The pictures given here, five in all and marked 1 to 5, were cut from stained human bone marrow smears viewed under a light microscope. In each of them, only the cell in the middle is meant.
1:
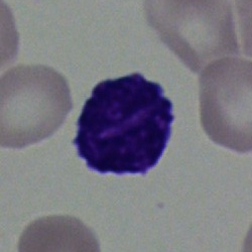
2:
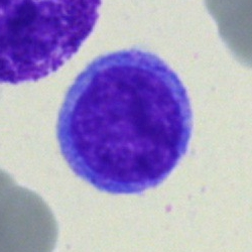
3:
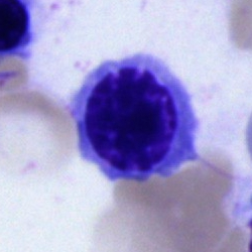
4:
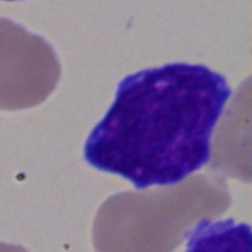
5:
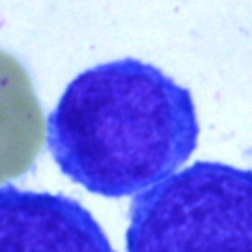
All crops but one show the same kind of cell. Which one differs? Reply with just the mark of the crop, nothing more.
3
